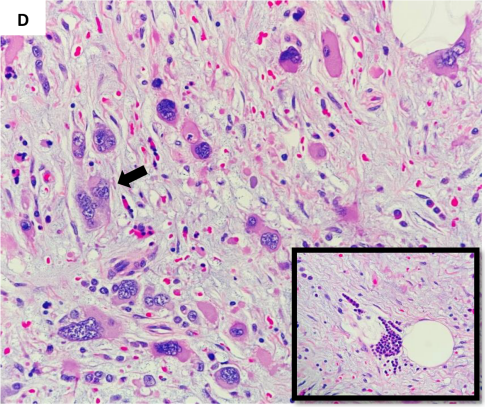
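This is a lesion in which very large, irregular megakaryocytes lie scattered in a pale, fibrous, sclerotic stroma. Each of these giant cells has plentiful pink cytoplasm and a large, dark, lobulated or folded nucleus, and they vary much in size and shape. The inset shows a small, tight cluster of cells with round dark nuclei, the erythroid and myeloid precursors, lying next to a fat space.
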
